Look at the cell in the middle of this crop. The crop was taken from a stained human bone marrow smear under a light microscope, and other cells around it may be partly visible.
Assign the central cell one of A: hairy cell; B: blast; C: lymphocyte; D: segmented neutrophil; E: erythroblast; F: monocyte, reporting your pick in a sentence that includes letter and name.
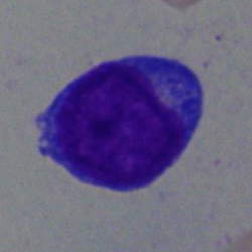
The central cell in this crop is a blast, so the correct choice is option B.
